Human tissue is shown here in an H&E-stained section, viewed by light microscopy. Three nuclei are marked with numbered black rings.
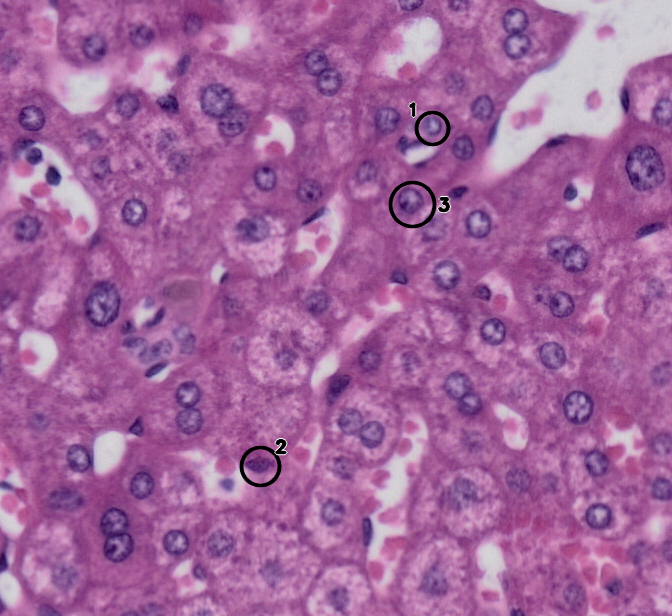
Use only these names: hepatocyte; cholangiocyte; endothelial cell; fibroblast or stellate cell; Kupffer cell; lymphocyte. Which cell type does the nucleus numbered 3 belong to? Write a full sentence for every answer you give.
Number 3 is placed on a hepatocyte here.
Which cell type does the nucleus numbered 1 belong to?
The cell marked with the number 1 is a cholangiocyte.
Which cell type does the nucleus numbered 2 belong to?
Numbered cell 2 is a fibroblast or stellate cell in this tissue section.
